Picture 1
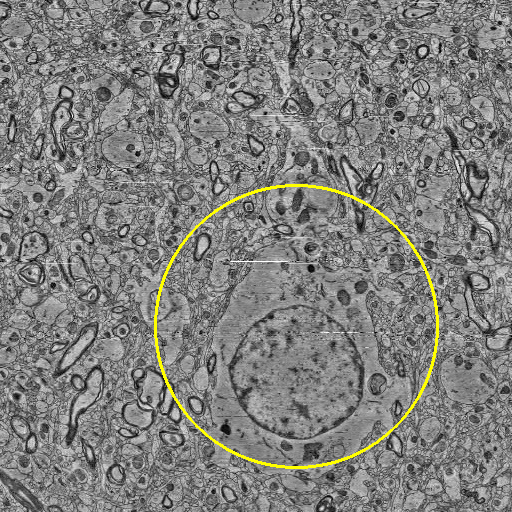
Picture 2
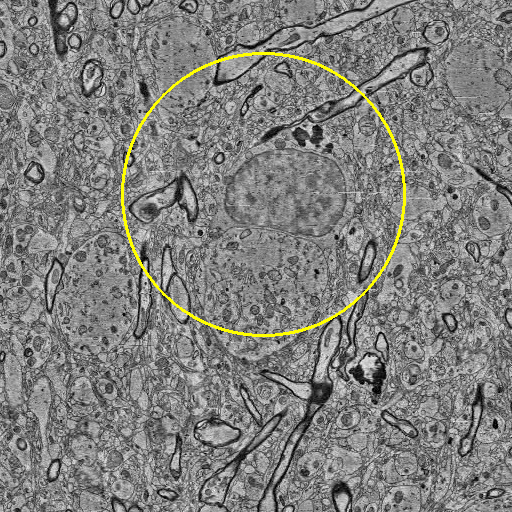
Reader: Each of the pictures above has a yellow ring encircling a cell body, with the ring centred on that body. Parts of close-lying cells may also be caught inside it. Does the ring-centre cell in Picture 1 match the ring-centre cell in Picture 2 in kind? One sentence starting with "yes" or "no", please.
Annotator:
No, Picture 1 and Picture 2 show ring-centre cells of two kinds.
